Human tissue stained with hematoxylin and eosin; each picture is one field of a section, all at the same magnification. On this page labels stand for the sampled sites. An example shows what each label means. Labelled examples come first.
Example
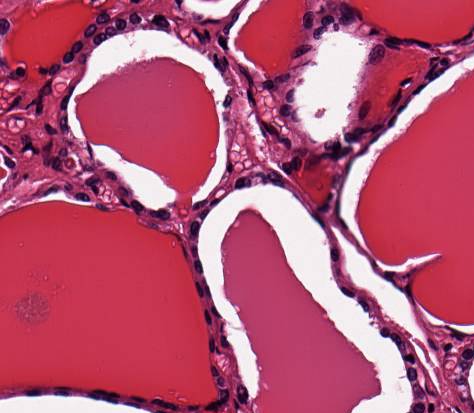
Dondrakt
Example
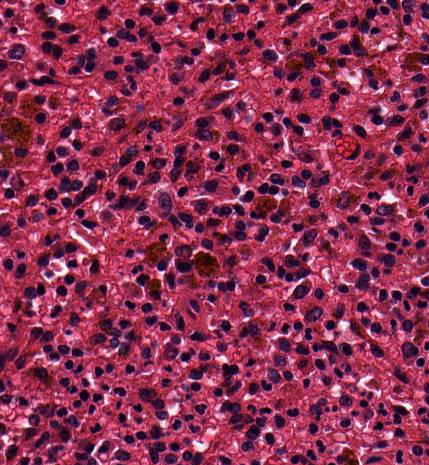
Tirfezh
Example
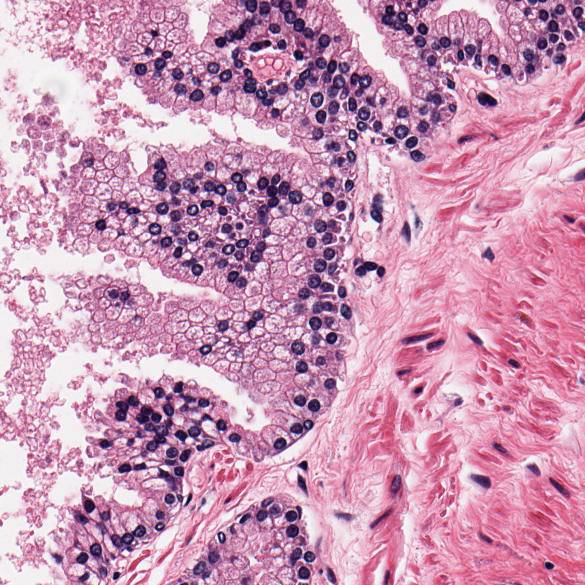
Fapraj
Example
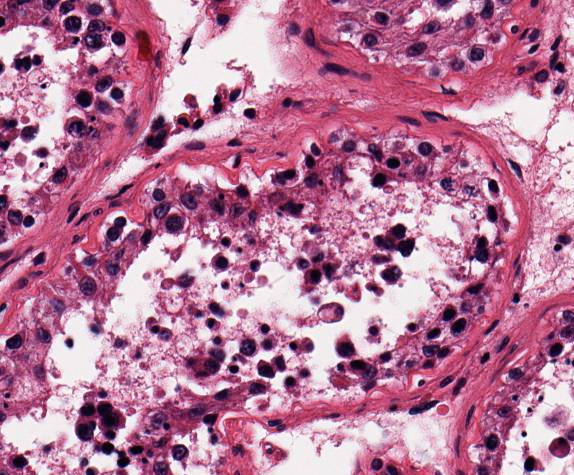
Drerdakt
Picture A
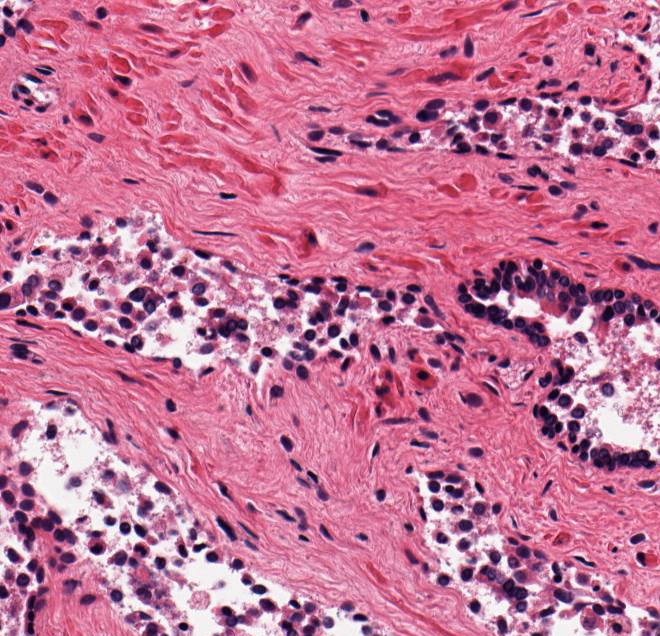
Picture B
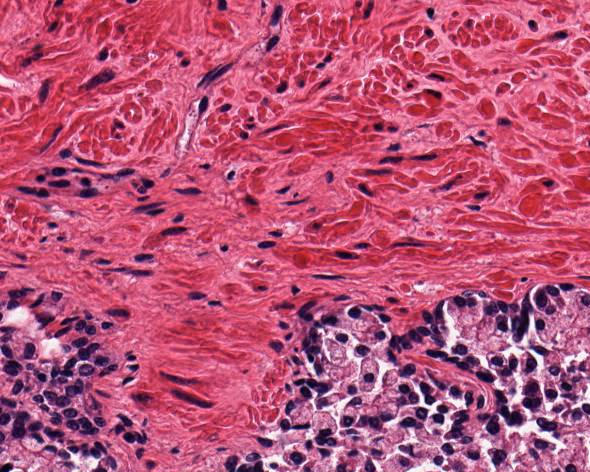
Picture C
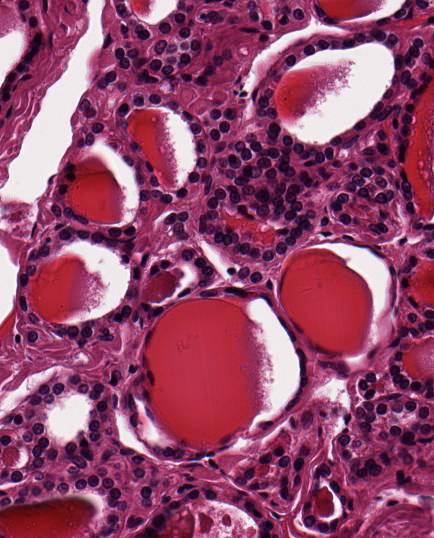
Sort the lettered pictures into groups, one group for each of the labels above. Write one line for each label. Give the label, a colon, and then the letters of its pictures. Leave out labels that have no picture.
Dondrakt: C
Fapraj: A, B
